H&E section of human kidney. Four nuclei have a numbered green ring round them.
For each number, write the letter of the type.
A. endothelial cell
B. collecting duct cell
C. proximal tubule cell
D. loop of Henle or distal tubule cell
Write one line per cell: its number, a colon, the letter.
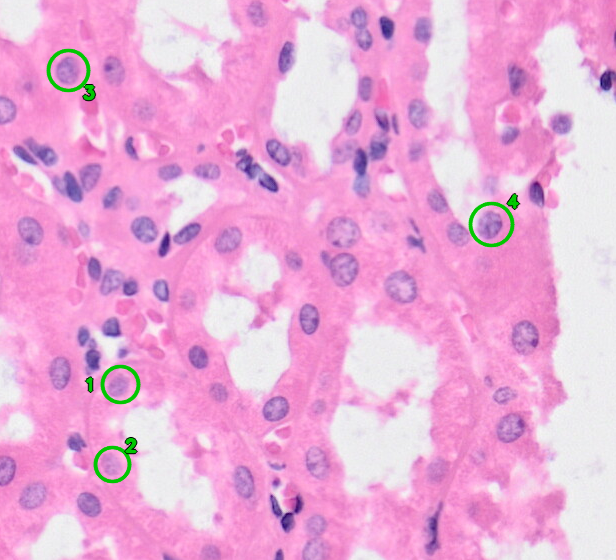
1: C
2: C
3: C
4: D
